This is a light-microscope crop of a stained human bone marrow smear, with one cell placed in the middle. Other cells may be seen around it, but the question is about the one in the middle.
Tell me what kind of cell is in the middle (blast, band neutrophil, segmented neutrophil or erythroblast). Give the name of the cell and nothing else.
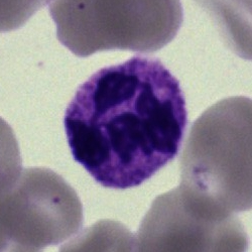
segmented neutrophil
